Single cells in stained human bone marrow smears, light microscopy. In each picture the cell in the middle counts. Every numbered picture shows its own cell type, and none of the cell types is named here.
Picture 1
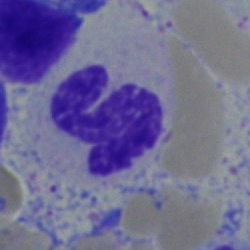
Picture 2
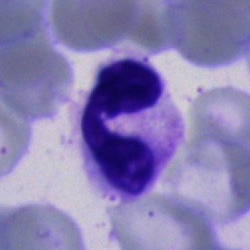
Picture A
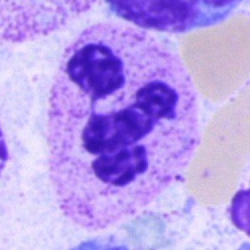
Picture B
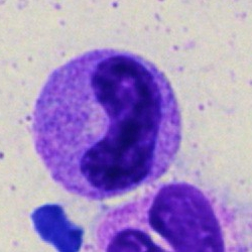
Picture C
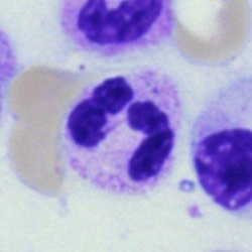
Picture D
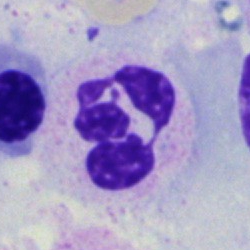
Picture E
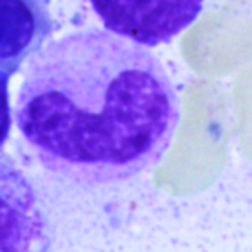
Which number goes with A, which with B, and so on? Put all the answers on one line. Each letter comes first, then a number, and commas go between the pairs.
A 2, B 1, C 2, D 2, E 1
